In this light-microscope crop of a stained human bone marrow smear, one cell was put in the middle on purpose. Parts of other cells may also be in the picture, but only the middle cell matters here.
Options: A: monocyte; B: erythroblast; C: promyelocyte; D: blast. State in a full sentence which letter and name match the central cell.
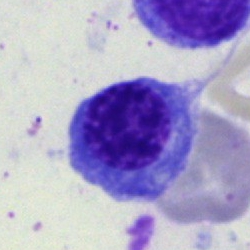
Option B is the correct option, with the middle cell being an erythroblast.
